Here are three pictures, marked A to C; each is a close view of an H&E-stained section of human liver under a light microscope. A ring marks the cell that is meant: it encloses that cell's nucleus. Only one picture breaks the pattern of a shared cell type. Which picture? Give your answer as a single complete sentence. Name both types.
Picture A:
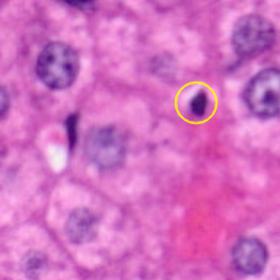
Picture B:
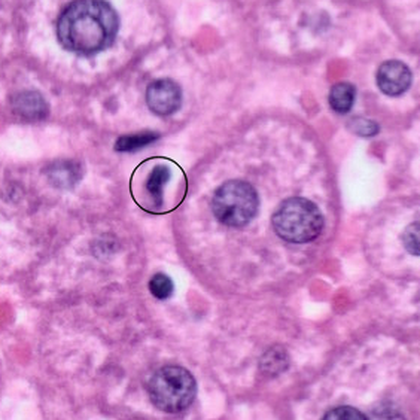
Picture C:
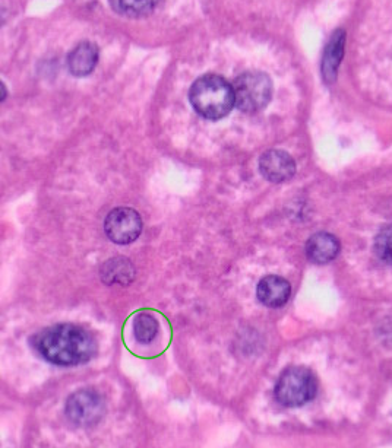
The different one is picture C; it shows a Kupffer cell, whereas all the others show lymphocytes.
